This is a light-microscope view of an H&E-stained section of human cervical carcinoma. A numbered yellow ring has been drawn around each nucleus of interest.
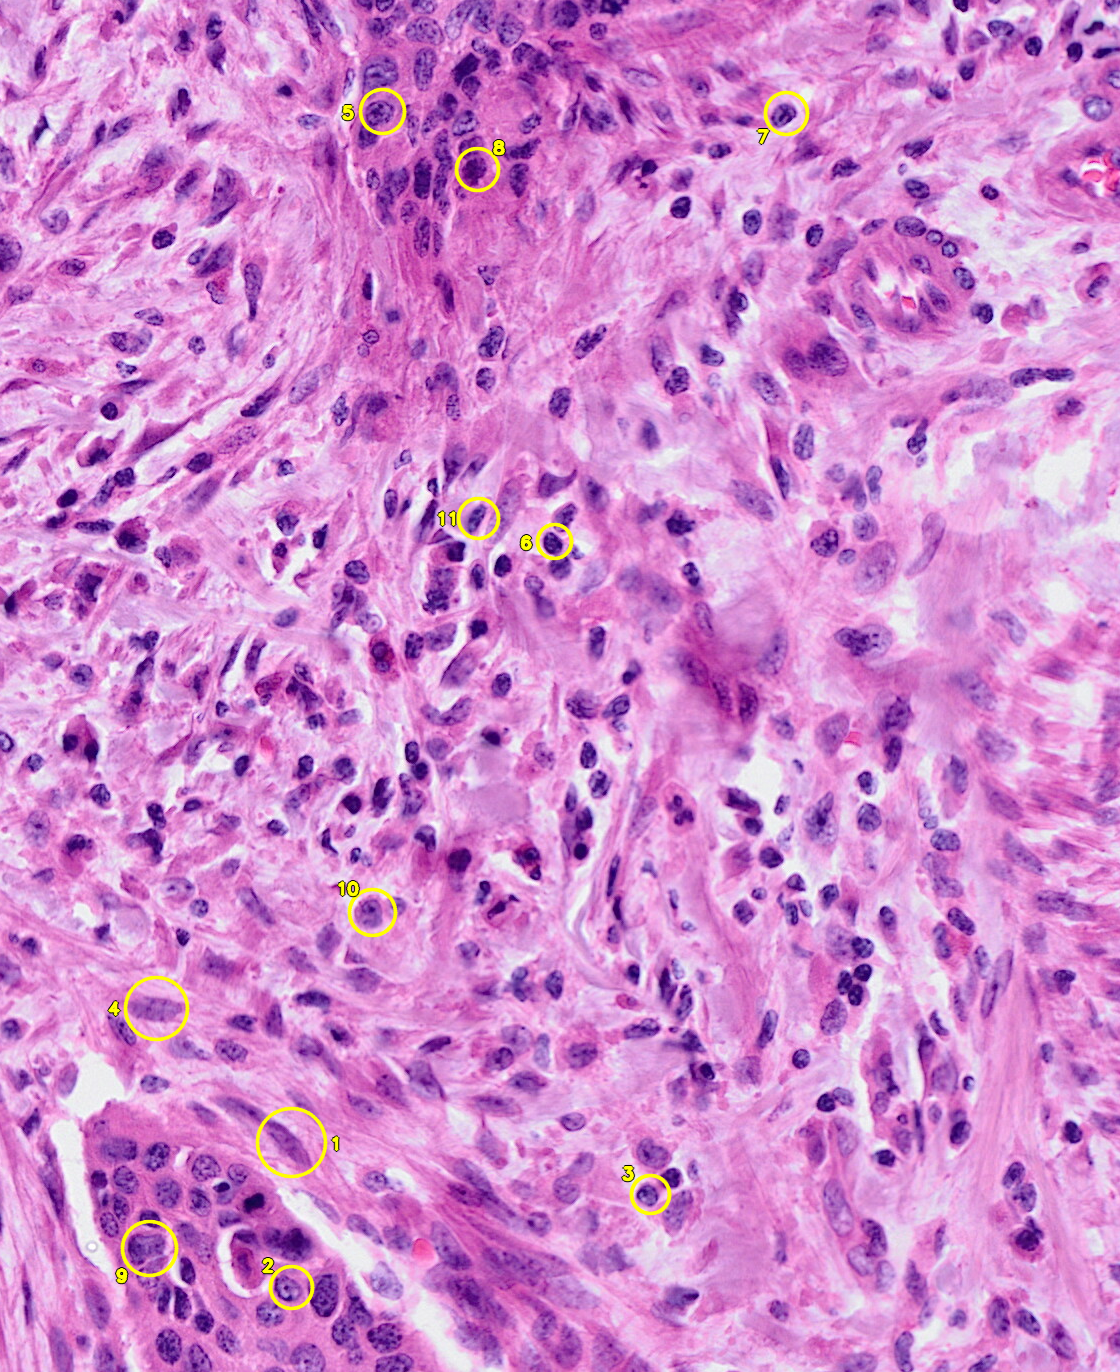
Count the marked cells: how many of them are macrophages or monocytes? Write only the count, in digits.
1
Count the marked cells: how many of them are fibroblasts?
2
